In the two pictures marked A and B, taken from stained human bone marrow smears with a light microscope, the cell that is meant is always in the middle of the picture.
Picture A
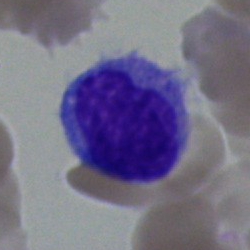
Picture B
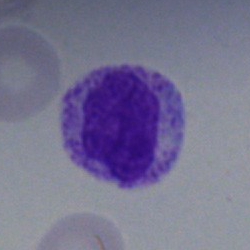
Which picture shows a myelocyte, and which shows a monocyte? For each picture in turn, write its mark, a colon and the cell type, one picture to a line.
A: monocyte
B: myelocyte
